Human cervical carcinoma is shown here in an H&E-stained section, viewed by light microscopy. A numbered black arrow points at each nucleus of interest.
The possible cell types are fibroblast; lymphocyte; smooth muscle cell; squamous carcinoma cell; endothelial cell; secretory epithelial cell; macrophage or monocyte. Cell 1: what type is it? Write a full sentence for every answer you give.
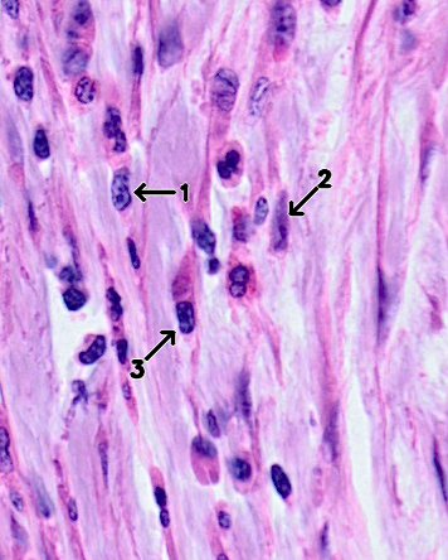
The nucleus with number 1 is that of a lymphocyte.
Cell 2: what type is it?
Cell 2, among those numbered, is a fibroblast.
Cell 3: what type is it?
As for number 3, that cell is a lymphocyte.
